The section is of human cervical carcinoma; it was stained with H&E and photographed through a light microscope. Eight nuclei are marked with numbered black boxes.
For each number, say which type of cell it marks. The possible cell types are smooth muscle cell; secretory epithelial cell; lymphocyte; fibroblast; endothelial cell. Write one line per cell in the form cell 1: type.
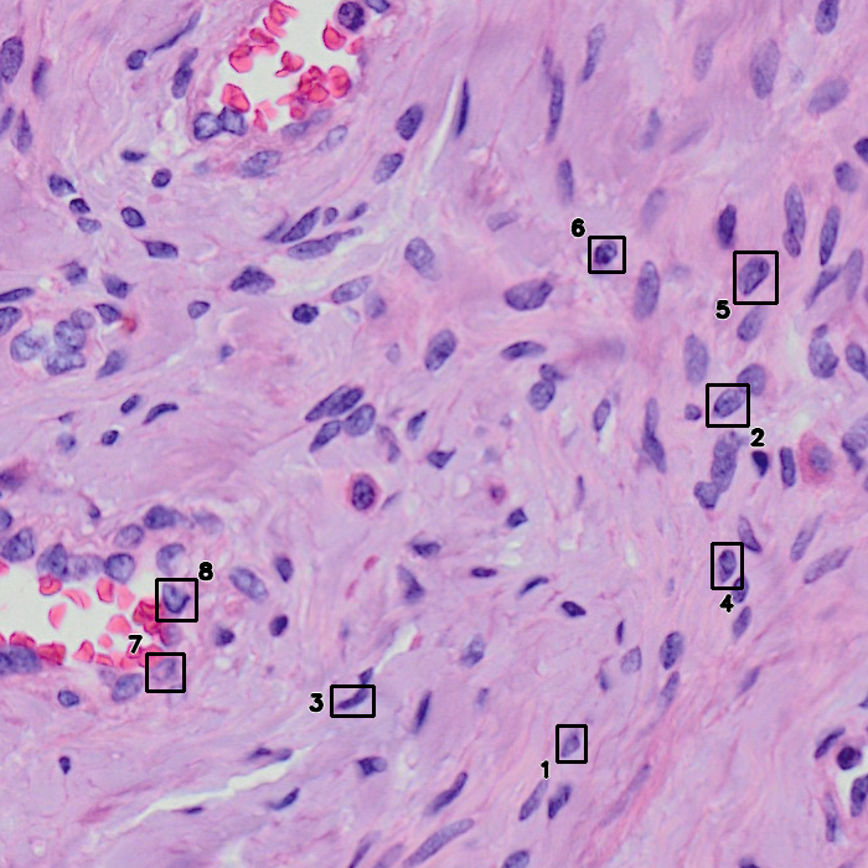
cell 1: fibroblast
cell 2: fibroblast
cell 3: fibroblast
cell 4: fibroblast
cell 5: fibroblast
cell 6: lymphocyte
cell 7: endothelial cell
cell 8: endothelial cell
